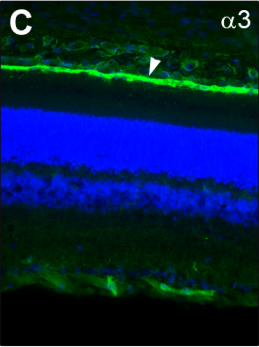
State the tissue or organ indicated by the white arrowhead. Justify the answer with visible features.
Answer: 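The arrowhead points to a thin continuous bright band at the outer edge of the retina. The band lies just outside the outer segment zone, beyond the thick blue nuclear layer. So: retinal pigment epithelium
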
